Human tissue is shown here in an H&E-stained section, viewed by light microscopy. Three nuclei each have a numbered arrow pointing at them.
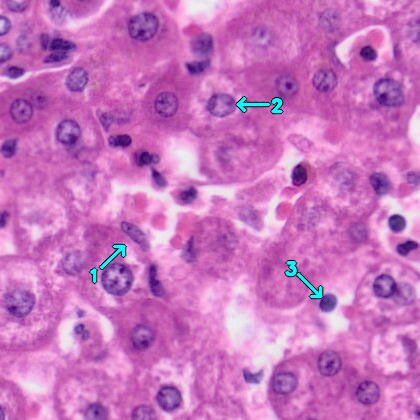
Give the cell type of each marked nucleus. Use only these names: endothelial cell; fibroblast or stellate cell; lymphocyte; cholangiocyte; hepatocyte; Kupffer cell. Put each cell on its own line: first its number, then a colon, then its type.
1: Kupffer cell
2: hepatocyte
3: lymphocyte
